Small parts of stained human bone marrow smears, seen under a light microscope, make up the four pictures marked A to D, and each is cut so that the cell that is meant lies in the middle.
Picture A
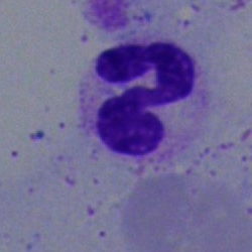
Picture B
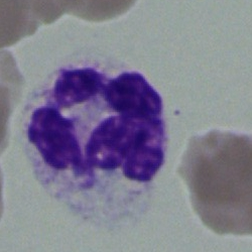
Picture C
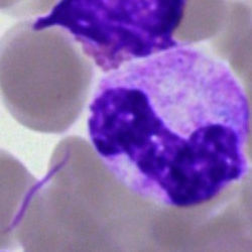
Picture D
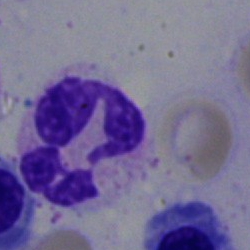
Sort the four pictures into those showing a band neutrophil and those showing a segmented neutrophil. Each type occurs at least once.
A: segmented neutrophil
B: segmented neutrophil
C: band neutrophil
D: segmented neutrophil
